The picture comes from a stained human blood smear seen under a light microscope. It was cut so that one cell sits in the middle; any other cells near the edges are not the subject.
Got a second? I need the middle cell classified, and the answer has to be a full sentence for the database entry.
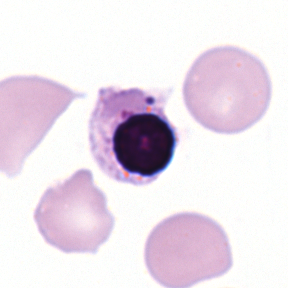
The central cell, amid any neighbouring cells, is a normoblast.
